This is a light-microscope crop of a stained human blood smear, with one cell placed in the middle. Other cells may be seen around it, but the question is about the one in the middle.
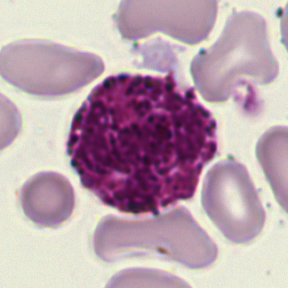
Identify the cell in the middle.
basophil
